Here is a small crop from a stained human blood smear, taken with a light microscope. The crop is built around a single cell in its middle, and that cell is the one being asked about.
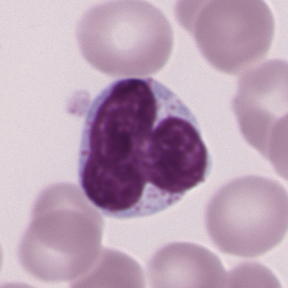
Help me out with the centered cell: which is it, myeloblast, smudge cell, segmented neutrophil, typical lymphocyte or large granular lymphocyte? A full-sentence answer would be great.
The cell at the heart of this crop is a large granular lymphocyte.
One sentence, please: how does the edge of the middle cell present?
The cell shows a smooth outline that lacks any surface projections.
